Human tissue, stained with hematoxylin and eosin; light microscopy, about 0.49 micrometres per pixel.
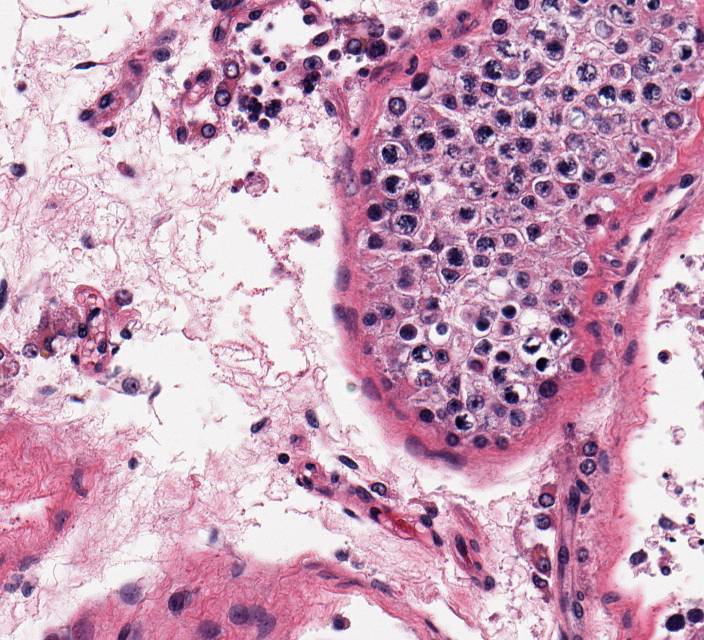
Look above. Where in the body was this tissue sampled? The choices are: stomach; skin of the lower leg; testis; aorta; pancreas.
testis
